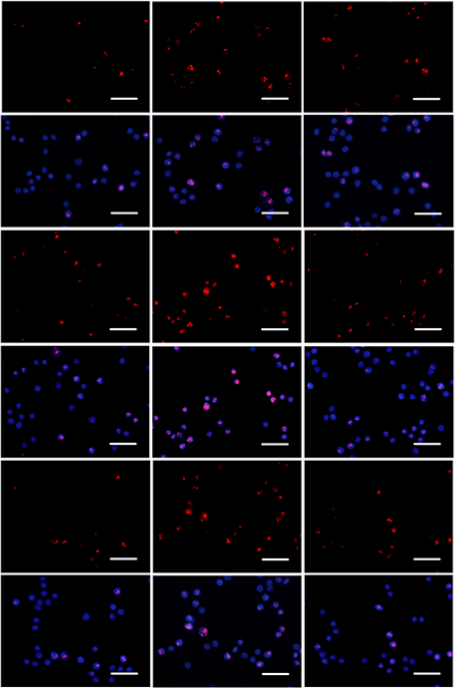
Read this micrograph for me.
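The nuclei are roughly uniform in size and lie scattered singly or in small loose groups rather than as a continuous sheet. In every field only a part of the nuclei also carry a red nuclear signal, which appears pink to magenta where it overlaps the blue. The upper image of each pair shows the red channel alone as isolated dots, and the lower image shows the merged colours.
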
